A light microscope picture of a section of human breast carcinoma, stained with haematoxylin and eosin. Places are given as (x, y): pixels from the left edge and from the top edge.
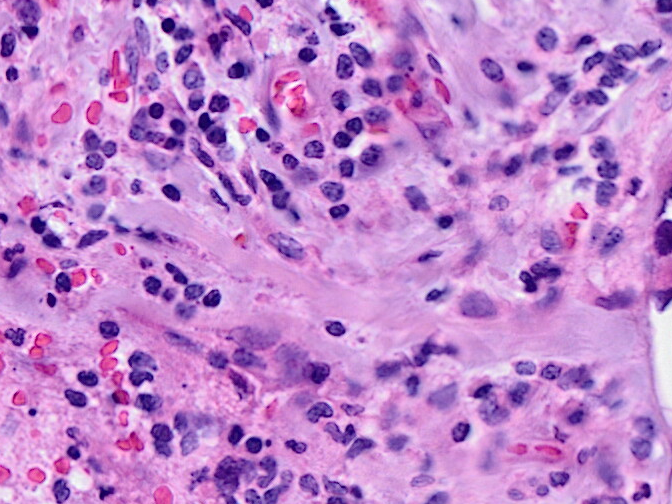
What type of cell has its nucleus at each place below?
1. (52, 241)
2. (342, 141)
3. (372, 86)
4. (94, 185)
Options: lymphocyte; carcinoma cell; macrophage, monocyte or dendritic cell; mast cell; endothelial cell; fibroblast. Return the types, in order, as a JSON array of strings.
["lymphocyte", "lymphocyte", "lymphocyte", "mast cell"]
